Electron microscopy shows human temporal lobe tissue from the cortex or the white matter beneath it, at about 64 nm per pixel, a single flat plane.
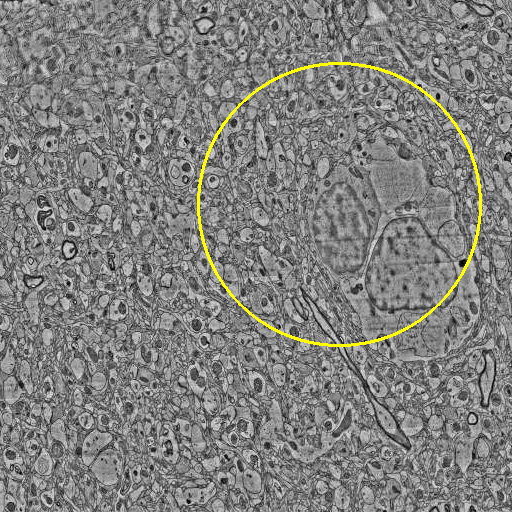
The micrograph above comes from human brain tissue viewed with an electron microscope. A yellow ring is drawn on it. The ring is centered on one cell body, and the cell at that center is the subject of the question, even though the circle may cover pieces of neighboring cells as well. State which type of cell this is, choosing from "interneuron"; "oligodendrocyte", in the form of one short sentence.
The cell the ring is centered on is an oligodendrocyte.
